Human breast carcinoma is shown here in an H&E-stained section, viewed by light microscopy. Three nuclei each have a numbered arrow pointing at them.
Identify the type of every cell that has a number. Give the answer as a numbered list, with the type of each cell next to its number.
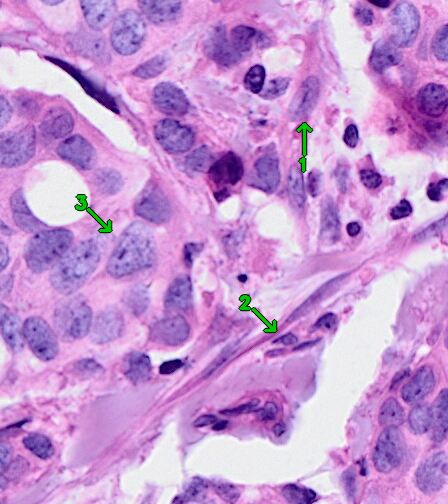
1. endothelial cell
2. fibroblast
3. carcinoma cell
